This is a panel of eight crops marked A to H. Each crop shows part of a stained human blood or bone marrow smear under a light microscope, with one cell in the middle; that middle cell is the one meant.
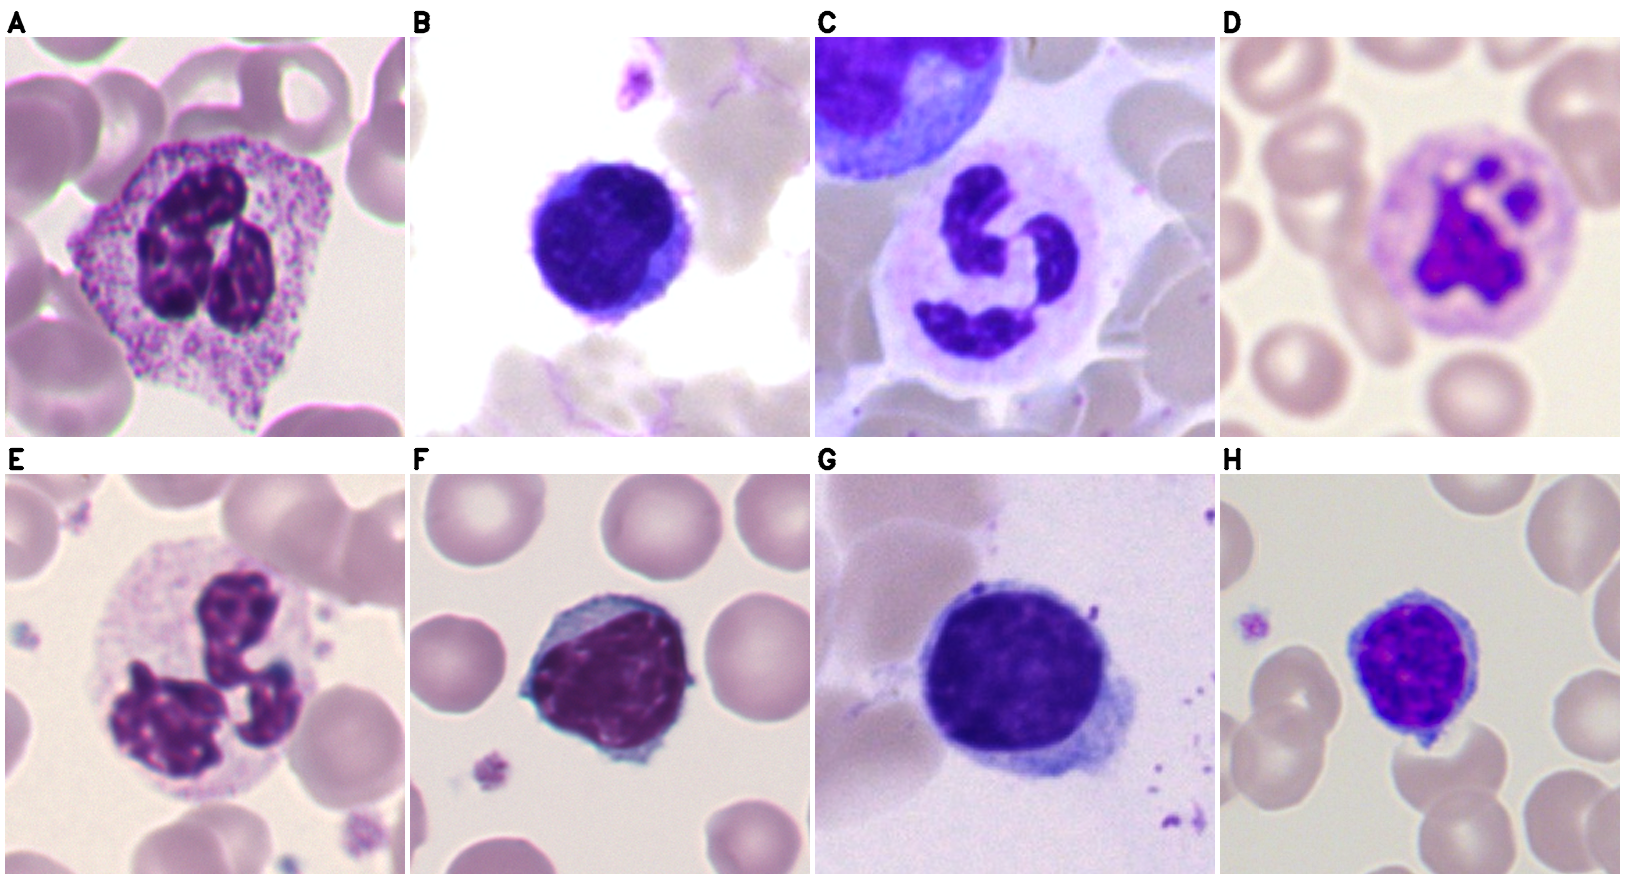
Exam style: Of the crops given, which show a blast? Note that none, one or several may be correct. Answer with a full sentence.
There is not one crop in the group that shows a blast.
